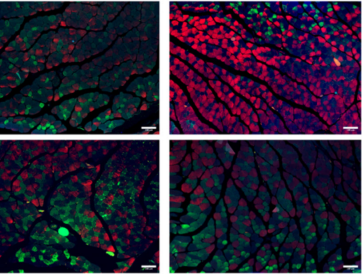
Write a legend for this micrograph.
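These are four fields of skeletal muscle cut in cross-section, each a mosaic of tightly packed polygonal muscle fibres separated by thin dark boundaries. The fields differ in their mix: one is dominated by red-filled fibres, while others hold larger clusters of green fibres.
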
